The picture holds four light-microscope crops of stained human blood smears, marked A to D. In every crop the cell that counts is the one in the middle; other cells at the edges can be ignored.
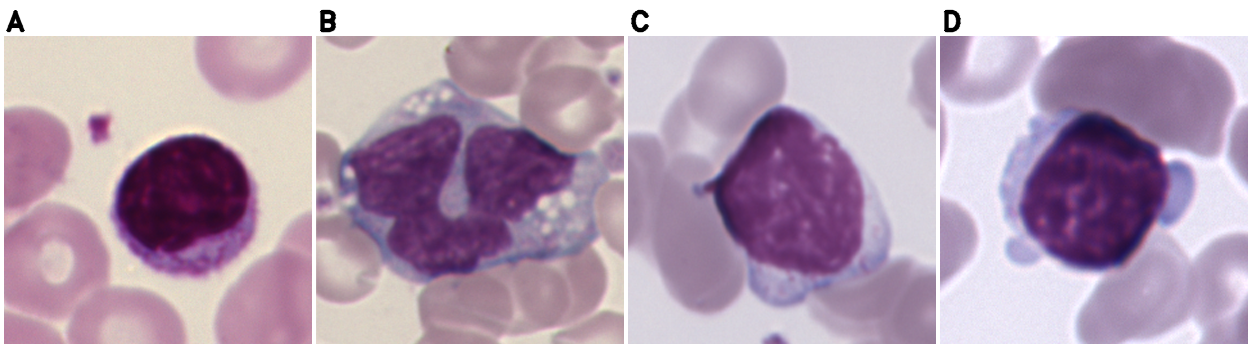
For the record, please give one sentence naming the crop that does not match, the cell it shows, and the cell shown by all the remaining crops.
The set is made up of large granular lymphocytes, with the single exception of crop B, which is a monocyte.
